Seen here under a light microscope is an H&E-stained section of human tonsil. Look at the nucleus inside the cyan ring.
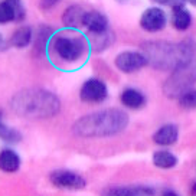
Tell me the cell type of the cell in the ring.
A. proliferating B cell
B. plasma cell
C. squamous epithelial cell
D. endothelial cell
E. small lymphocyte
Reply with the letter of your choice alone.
D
